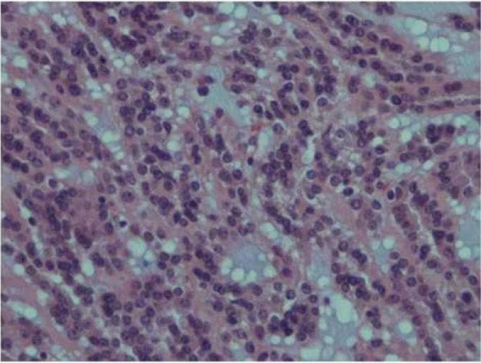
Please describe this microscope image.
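This is a tumour made of tubules and cords lined by low-grade cuboidal cells, seen at high power. The nuclei are round to oval, fairly uniform and dark purple, with no prominent nucleoli, and mitotic figures are hard to find. The cells have pink, eosinophilic cytoplasm. Between the cords lies pale bluish, mucinous material with scattered clear vacuole-like spaces.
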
